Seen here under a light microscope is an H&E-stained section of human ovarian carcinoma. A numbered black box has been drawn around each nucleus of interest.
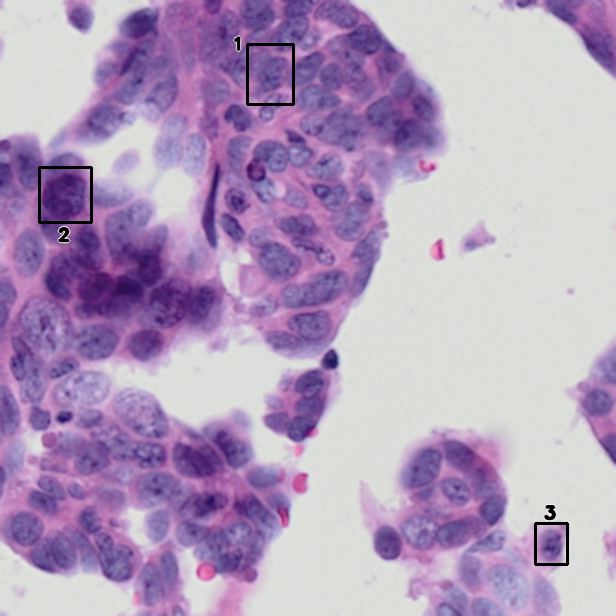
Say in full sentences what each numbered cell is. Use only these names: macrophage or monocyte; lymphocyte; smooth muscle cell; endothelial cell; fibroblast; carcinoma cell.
Cell 1 is a carcinoma cell, cell 2 is a carcinoma cell and cell 3 is a macrophage or monocyte.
